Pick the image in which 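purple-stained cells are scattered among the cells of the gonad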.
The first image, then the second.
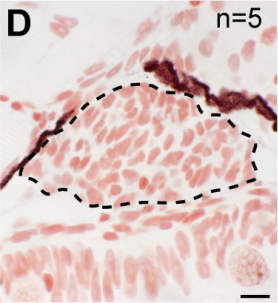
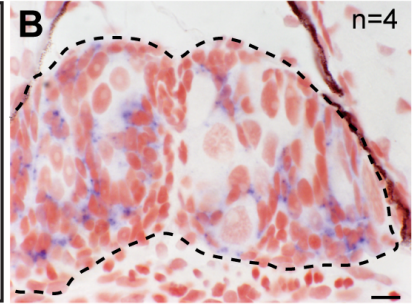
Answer: The second image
